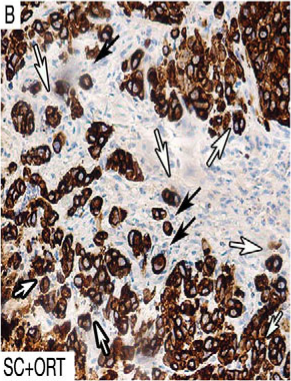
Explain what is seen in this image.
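The invasive front of a tumour shows brown-stained tumour epithelial cells breaking up into many small clusters and single cells within pale stroma. The tumour cells are rounded with strongly brown membranes and cytoplasm, while the stroma between them holds small blue nuclei. Larger compact tumour masses remain toward the edges of the field.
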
